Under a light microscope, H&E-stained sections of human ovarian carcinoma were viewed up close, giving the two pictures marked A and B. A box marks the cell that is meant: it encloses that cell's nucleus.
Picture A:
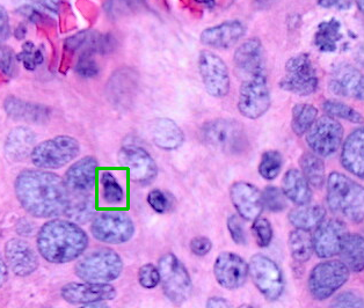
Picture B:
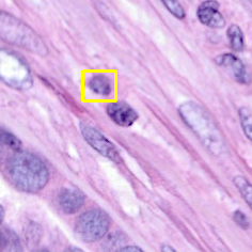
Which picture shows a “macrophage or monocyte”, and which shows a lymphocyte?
A: lymphocyte
B: macrophage or monocyte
